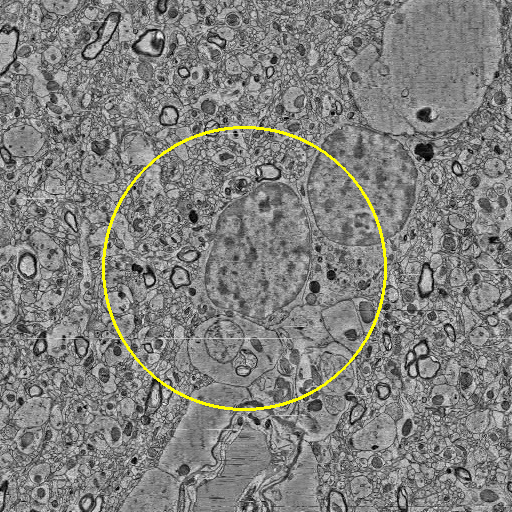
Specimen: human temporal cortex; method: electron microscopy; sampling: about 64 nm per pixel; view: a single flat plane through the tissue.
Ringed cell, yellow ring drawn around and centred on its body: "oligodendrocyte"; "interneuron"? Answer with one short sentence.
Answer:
This ringed cell is an oligodendrocyte.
